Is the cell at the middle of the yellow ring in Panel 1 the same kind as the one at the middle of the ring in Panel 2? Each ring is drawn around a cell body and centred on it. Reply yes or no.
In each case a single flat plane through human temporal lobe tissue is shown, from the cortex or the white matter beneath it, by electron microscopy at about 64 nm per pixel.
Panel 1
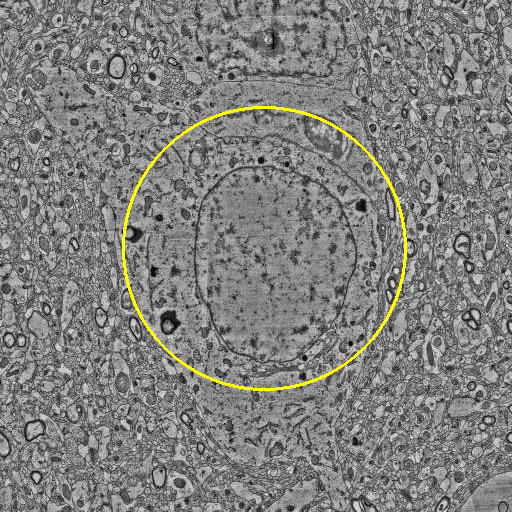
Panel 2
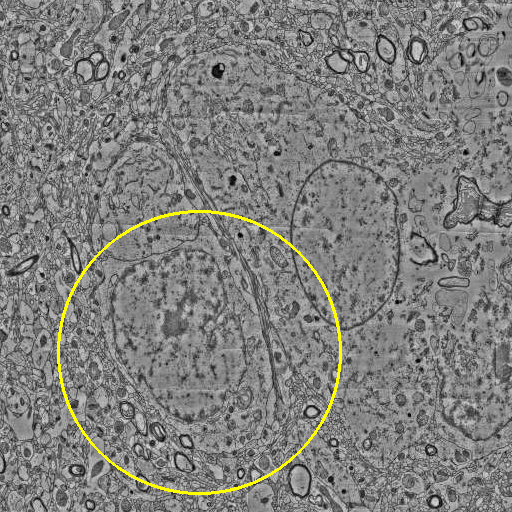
no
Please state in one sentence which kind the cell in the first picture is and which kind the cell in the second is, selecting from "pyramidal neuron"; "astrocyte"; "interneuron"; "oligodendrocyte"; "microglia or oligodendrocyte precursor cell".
The first ringed cell is a pyramidal neuron, the second ringed cell an interneuron.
